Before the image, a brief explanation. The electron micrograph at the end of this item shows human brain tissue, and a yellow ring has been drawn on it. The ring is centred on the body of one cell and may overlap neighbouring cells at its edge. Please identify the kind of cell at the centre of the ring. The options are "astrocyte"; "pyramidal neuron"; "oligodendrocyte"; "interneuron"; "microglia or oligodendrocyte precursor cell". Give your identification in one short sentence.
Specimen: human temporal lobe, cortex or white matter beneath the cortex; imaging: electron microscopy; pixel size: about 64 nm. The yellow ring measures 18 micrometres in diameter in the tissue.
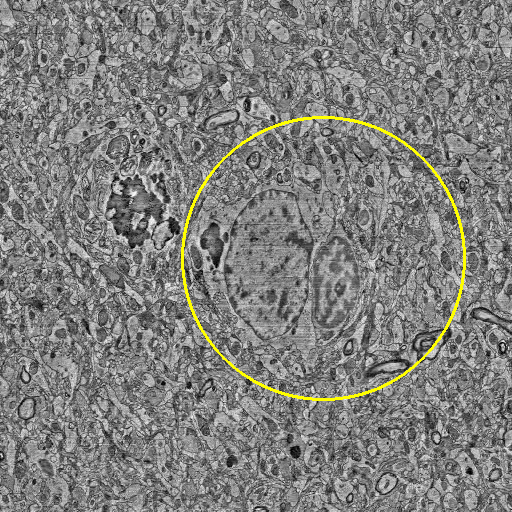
The ring has been placed around an oligodendrocyte.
